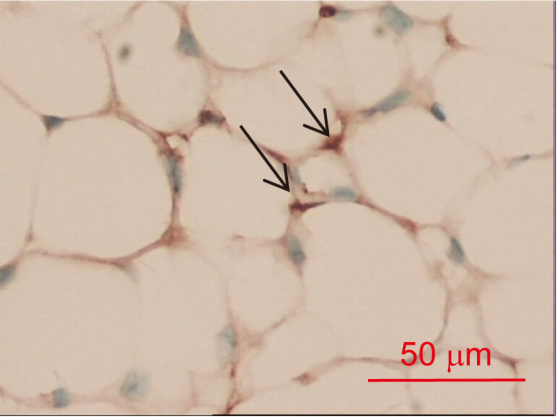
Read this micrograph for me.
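This section of adipose tissue shows packed adipocytes, each a large cell with a clear, unstained interior and a thin peripheral rim of cytoplasm. Small, flattened blue nuclei sit at the edges of the cells, mostly at junctions between neighbouring cells. Reddish-brown staining outlines many of the cell borders and is densest in the small spaces where several cells meet. Near the centre, arrows point to small, more intensely brown-stained areas among the cell rims, next to a few noticeably smaller cells. The adipocytes vary in size, with smaller cells scattered between larger ones.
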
